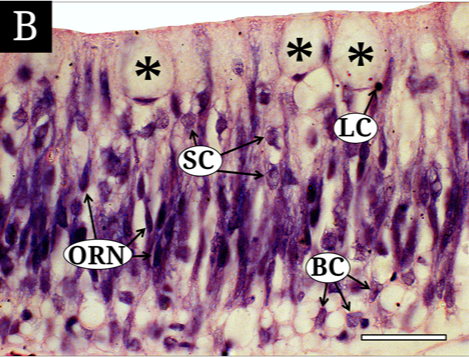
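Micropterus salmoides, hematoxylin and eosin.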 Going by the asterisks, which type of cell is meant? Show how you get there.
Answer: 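Asterisks sit in large oval cells at the apical surface of the epithelium. Their content is pale and nearly unstained compared with the purple surrounding cells. So: mucous cell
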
